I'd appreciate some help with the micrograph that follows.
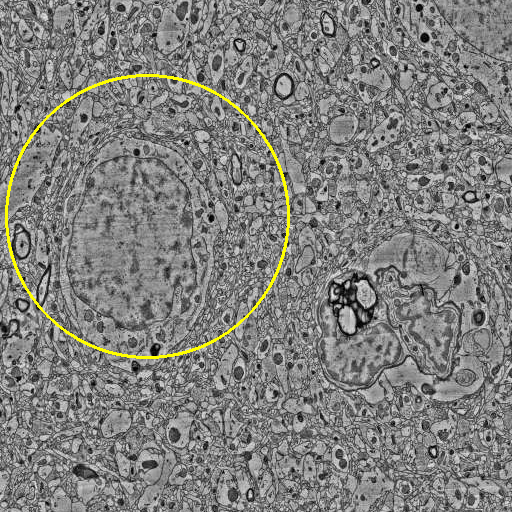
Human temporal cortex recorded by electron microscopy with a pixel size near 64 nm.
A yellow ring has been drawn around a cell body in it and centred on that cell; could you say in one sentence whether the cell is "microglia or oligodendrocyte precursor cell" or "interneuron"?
It is an interneuron at the centre of the ring.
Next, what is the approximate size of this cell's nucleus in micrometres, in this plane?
In this plane the nucleus is about 11 micrometres by 8.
